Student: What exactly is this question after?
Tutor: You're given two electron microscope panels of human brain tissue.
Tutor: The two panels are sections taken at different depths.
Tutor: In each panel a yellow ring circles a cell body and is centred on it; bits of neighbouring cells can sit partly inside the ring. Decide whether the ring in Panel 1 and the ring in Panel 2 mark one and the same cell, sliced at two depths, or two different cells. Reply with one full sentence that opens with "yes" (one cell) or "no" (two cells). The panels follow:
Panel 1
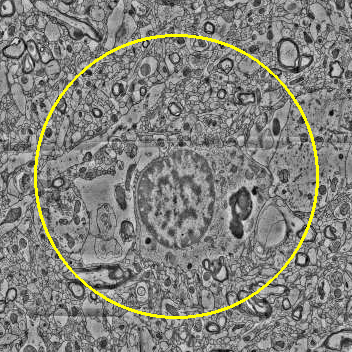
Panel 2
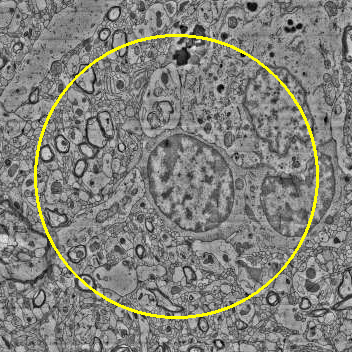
No, the yellow rings are placed on two separate cells.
